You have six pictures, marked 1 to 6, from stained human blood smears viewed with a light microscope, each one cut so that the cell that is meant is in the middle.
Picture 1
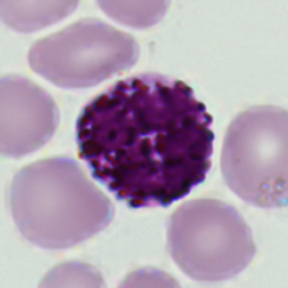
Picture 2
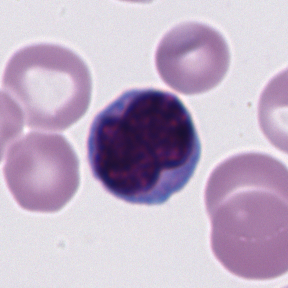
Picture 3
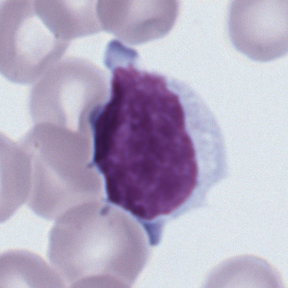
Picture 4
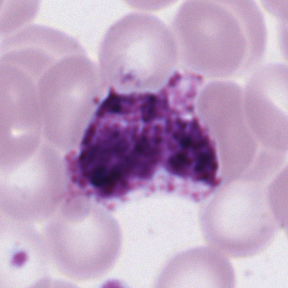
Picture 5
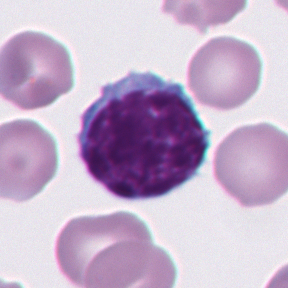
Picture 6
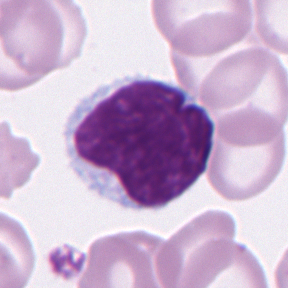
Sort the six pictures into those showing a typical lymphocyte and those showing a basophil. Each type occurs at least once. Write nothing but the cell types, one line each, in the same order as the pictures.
basophil
typical lymphocyte
typical lymphocyte
basophil
typical lymphocyte
typical lymphocyte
